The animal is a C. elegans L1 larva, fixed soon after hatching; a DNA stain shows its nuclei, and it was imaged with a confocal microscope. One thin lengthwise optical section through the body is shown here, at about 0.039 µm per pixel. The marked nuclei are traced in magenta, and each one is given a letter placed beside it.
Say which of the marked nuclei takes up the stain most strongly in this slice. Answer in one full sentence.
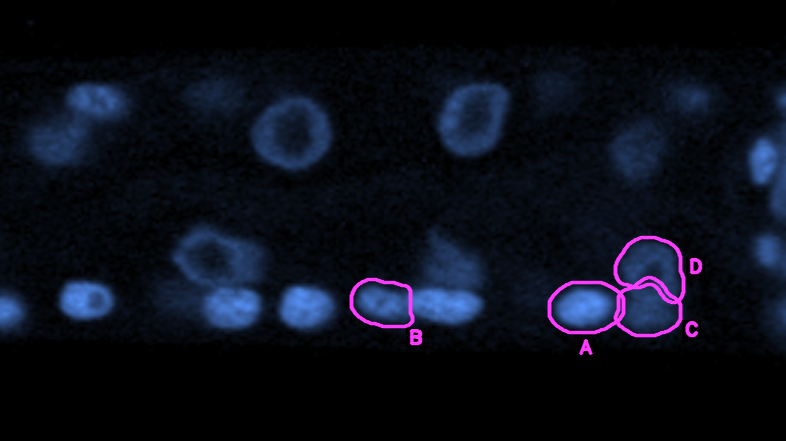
Of the marked nuclei, A takes up the stain most strongly.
